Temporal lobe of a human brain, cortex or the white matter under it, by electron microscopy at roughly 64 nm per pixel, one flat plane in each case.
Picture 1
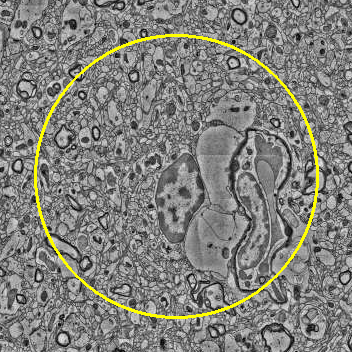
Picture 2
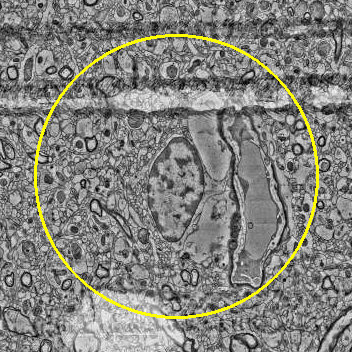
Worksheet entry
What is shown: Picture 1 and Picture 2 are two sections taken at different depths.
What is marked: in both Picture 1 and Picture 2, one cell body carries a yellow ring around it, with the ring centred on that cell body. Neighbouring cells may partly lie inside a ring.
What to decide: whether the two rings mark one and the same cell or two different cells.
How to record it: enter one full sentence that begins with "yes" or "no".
Yes, the same individual cell is enclosed by both rings.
